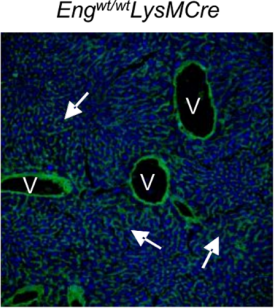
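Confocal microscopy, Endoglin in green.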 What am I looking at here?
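This is liver tissue in which blue nuclei of the liver cells lie in plates, and between them a fine green network outlines the narrow sinusoids. Several large round or oval dark lumens of veins stand out, each lined by a thin continuous bright green rim of endothelium. Around the vessels the sinusoidal green lines radiate and branch between the rows of nuclei, giving the tissue a meshwork appearance.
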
